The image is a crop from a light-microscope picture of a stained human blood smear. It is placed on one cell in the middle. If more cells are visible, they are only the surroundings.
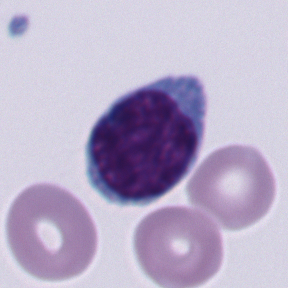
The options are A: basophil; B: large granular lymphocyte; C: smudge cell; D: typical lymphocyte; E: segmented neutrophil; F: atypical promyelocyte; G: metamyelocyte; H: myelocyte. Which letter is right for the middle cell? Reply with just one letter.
D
